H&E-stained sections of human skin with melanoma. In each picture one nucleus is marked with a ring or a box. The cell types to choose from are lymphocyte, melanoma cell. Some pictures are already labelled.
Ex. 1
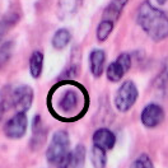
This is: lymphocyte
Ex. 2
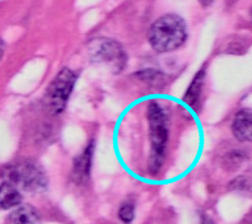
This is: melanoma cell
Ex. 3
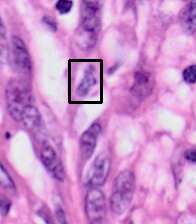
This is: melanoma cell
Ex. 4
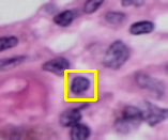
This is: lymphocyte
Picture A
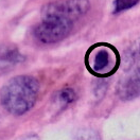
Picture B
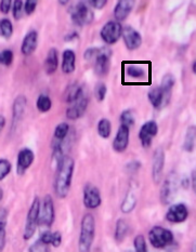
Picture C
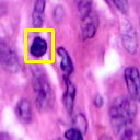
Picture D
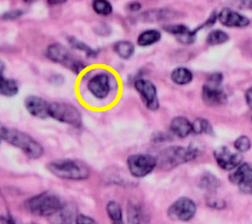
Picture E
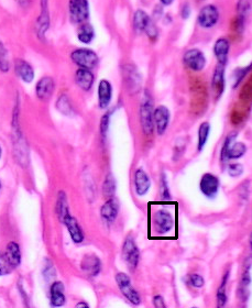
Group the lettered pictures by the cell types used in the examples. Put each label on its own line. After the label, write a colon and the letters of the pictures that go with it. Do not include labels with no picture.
lymphocyte: A, B, C, D, E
